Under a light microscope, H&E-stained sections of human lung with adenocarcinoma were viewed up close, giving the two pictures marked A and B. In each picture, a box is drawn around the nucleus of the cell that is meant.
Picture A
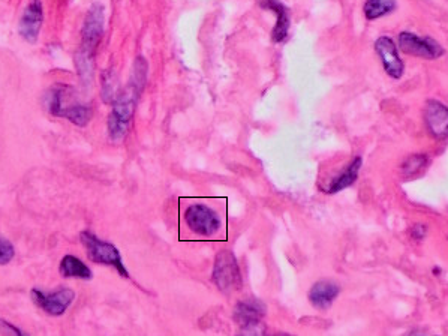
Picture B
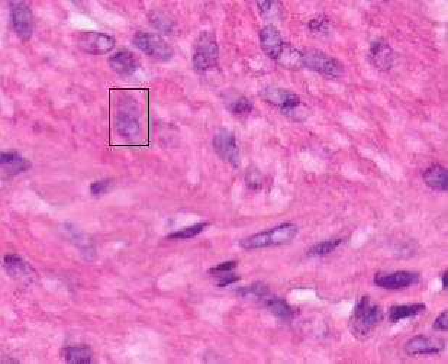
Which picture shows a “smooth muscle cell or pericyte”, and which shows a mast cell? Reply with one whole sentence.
The cell in picture A is a mast cell, and the one in picture B is a “smooth muscle cell or pericyte”.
